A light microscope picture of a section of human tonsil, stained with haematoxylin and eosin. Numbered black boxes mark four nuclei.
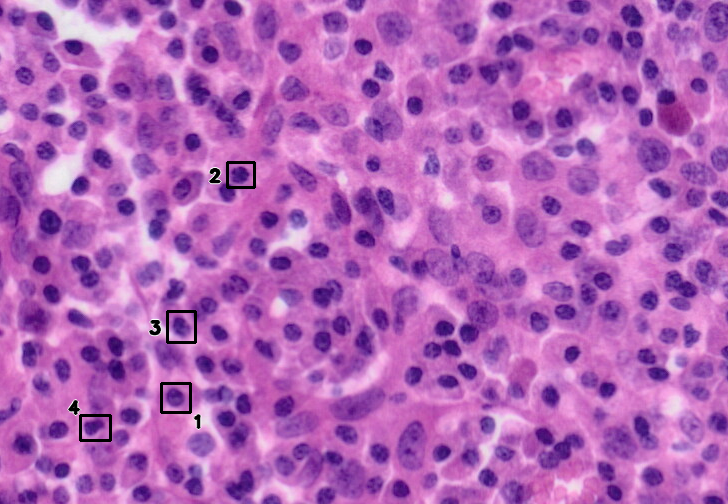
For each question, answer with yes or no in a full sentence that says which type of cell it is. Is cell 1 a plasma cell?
Yes, the cell identified by number 1 is a plasma cell.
